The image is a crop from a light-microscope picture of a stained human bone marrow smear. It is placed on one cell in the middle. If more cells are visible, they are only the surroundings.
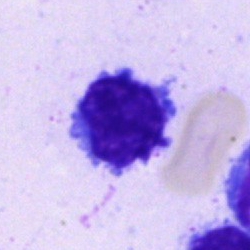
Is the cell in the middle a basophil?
no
